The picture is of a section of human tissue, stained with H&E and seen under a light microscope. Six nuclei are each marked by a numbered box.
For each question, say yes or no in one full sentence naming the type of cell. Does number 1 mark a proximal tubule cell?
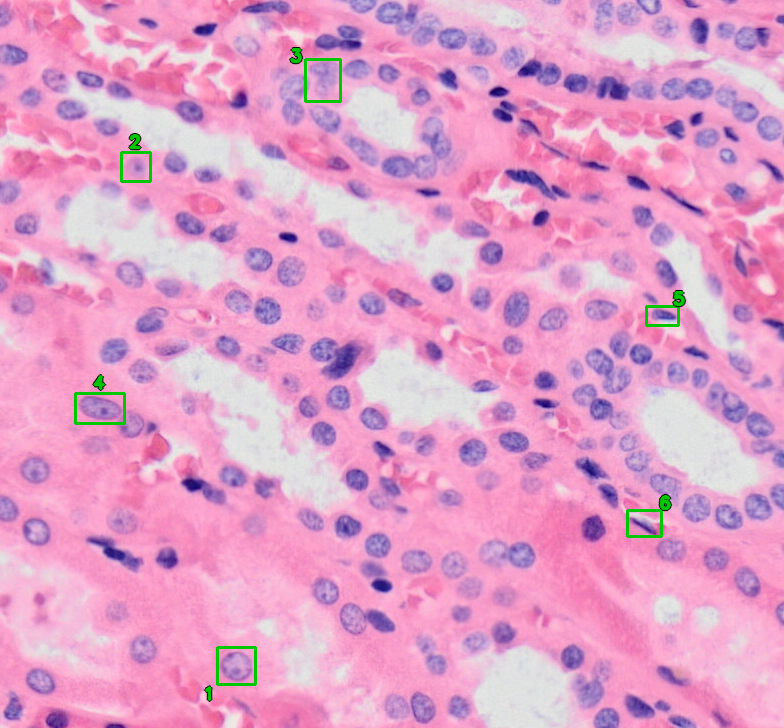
Yes, regarding cell number 1, it is a proximal tubule cell.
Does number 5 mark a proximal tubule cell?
No, number 5 is not a proximal tubule cell; it is an endothelial cell.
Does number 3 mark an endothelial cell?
No; cell 3 is a collecting duct cell, not an endothelial cell.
